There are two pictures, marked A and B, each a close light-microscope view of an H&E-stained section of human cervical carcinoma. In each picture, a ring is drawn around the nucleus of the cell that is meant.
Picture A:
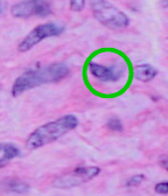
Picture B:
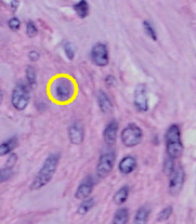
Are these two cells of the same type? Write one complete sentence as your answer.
Yes, both are smooth muscle cells.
